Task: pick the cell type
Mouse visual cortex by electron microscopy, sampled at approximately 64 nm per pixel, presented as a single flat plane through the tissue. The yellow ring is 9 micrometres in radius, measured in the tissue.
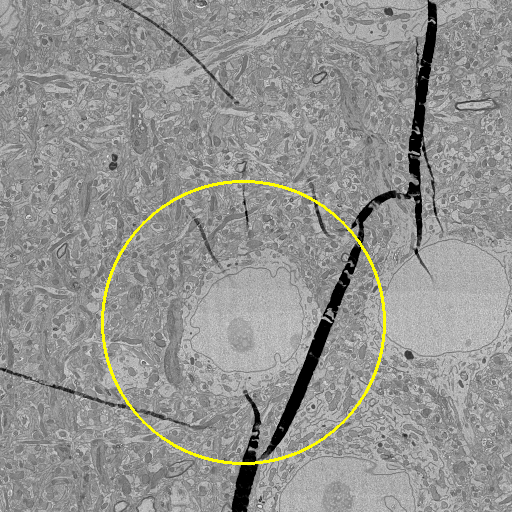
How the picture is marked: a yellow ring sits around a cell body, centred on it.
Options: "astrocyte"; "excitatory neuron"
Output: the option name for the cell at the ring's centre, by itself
excitatory neuron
